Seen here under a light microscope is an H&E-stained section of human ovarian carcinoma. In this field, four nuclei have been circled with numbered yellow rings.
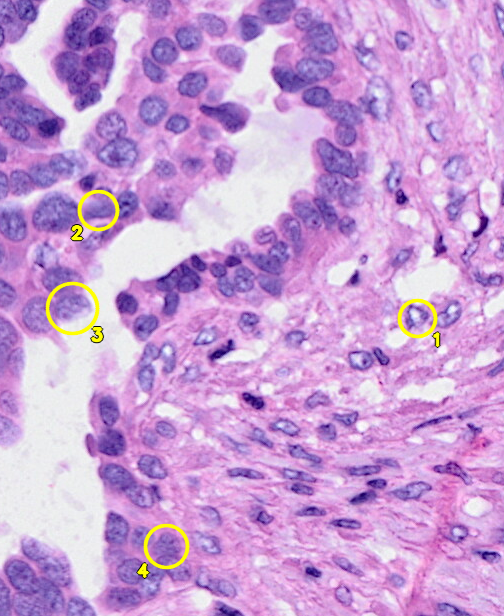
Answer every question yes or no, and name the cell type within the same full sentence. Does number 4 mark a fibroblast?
No, cell 4 is correctly identified as a carcinoma cell and not as a fibroblast.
